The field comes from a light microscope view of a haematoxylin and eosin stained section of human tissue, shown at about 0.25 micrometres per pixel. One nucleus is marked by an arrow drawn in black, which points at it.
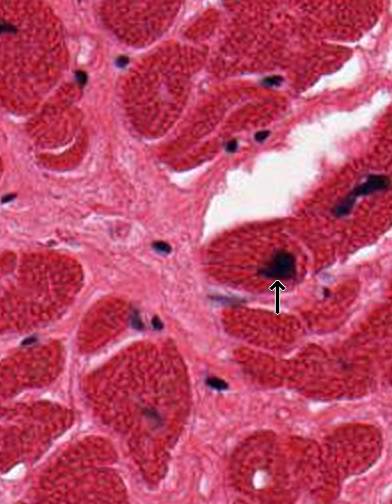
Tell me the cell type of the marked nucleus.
cardiomyocyte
